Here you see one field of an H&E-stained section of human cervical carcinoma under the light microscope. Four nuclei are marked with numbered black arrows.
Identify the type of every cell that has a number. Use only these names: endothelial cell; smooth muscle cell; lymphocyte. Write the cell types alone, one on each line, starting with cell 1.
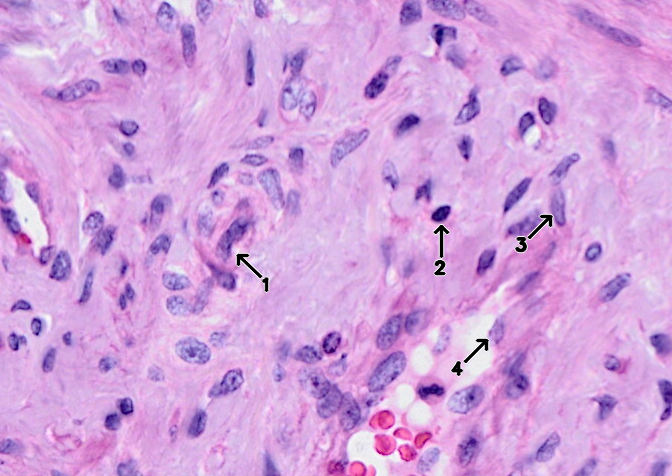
endothelial cell
lymphocyte
smooth muscle cell
endothelial cell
